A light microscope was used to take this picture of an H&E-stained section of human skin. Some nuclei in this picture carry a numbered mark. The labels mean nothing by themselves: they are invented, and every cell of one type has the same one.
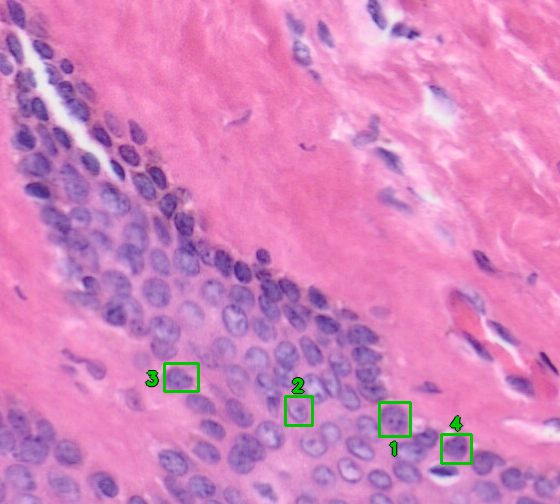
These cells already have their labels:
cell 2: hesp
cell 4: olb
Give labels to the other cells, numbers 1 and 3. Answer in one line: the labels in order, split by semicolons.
olb; olb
